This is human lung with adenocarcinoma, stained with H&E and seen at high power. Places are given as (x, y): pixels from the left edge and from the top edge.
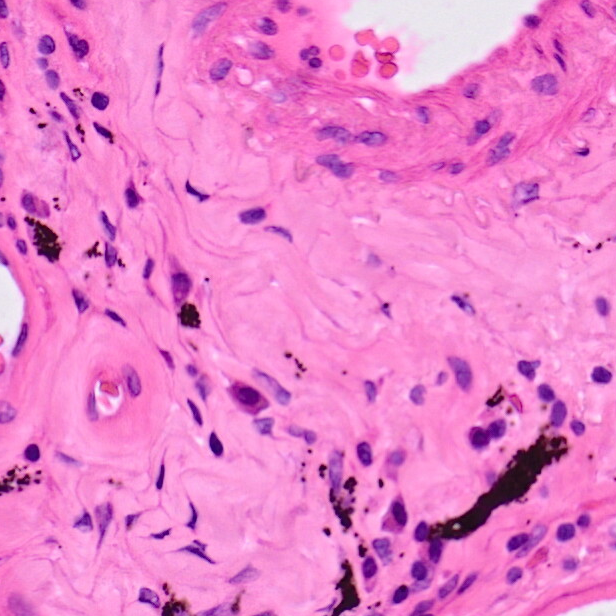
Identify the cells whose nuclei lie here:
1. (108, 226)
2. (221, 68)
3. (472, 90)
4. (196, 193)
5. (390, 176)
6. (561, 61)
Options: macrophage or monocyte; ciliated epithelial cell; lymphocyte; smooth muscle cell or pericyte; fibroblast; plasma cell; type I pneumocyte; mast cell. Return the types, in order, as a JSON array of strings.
["fibroblast", "smooth muscle cell or pericyte", "smooth muscle cell or pericyte", "fibroblast", "smooth muscle cell or pericyte", "smooth muscle cell or pericyte"]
